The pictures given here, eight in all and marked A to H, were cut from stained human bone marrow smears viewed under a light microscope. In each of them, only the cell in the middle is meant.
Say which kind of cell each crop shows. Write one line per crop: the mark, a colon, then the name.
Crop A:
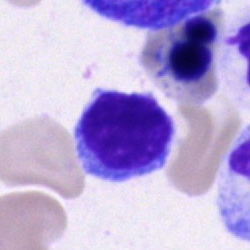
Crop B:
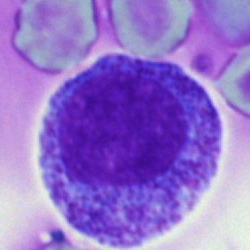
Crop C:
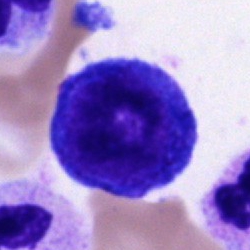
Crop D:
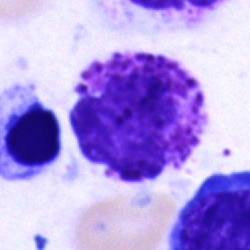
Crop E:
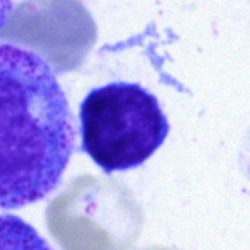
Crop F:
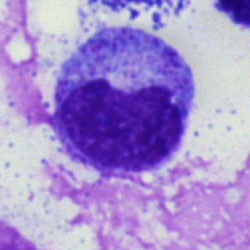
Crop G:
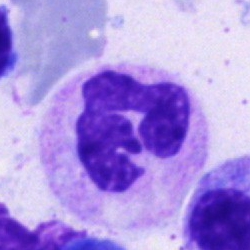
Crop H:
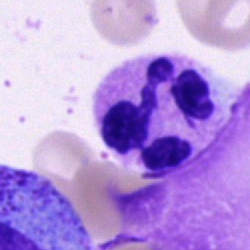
A: lymphocyte
B: promyelocyte
C: proerythroblast
D: basophil
E: lymphocyte
F: myelocyte
G: segmented neutrophil
H: segmented neutrophil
